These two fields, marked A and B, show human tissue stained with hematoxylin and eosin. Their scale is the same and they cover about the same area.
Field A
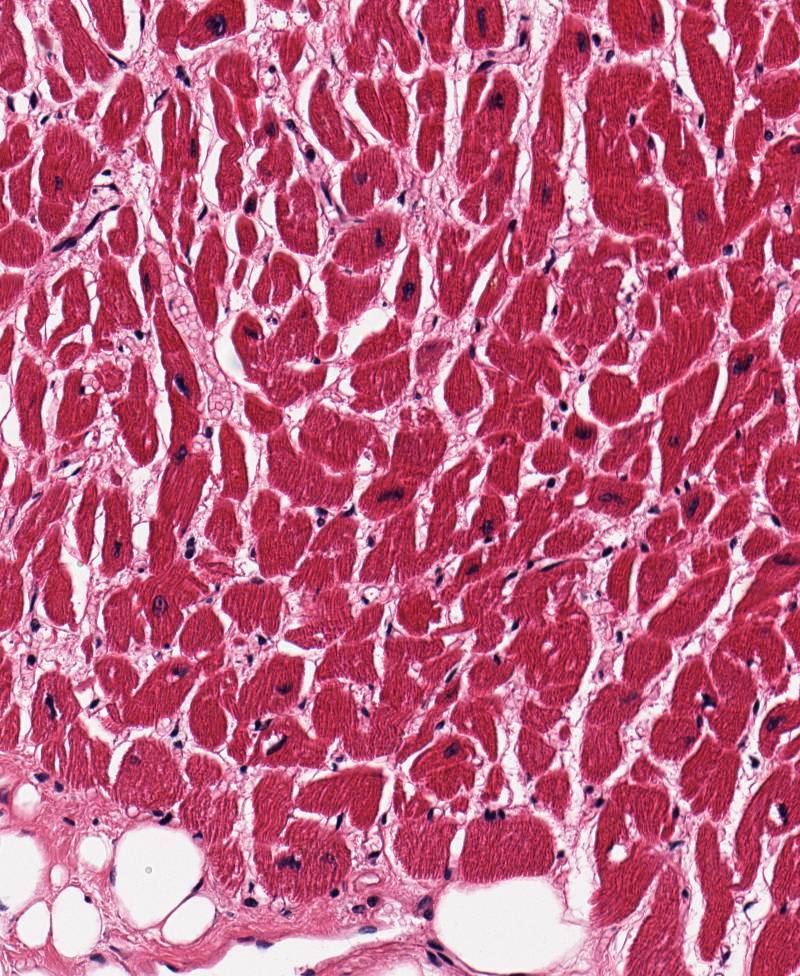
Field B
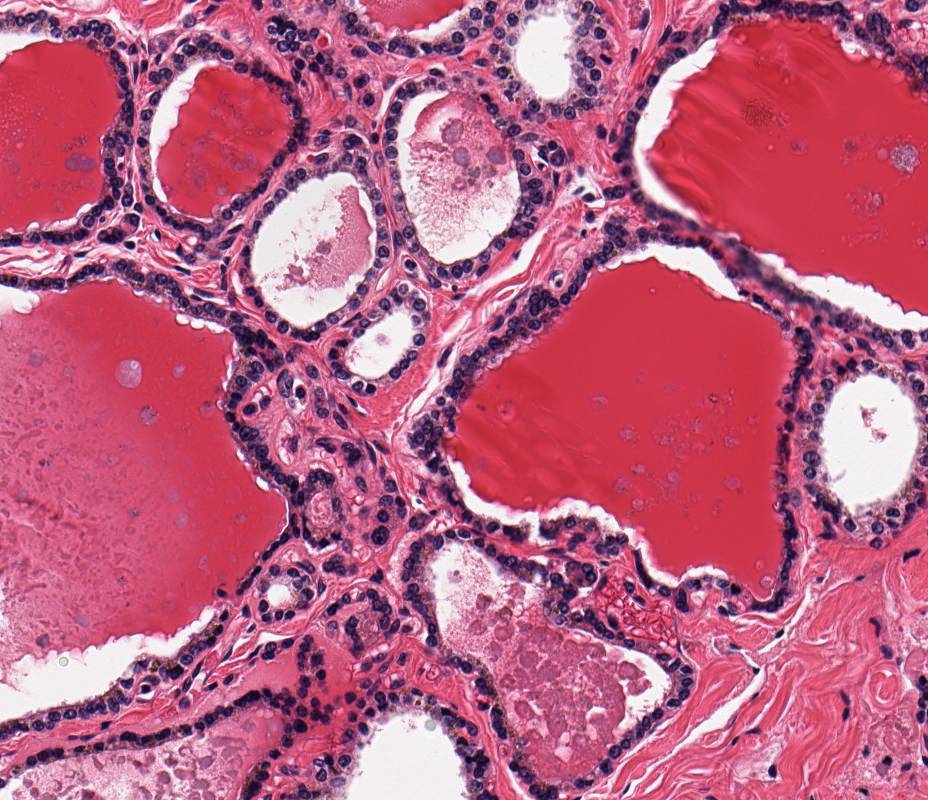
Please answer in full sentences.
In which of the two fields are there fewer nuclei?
Fewer nuclei lie in field A than in field B.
